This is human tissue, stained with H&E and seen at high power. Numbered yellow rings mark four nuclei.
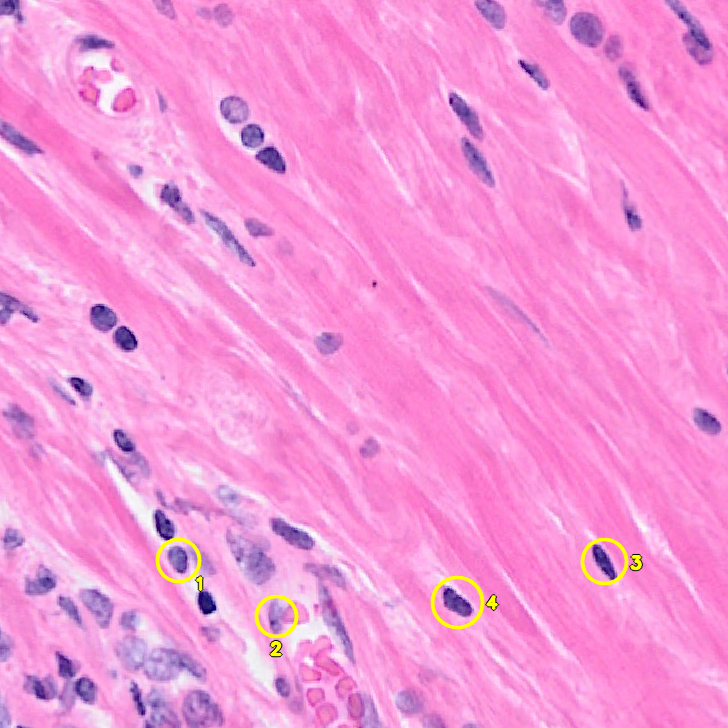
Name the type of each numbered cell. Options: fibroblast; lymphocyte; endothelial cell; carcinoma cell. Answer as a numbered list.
1. lymphocyte
2. endothelial cell
3. lymphocyte
4. lymphocyte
